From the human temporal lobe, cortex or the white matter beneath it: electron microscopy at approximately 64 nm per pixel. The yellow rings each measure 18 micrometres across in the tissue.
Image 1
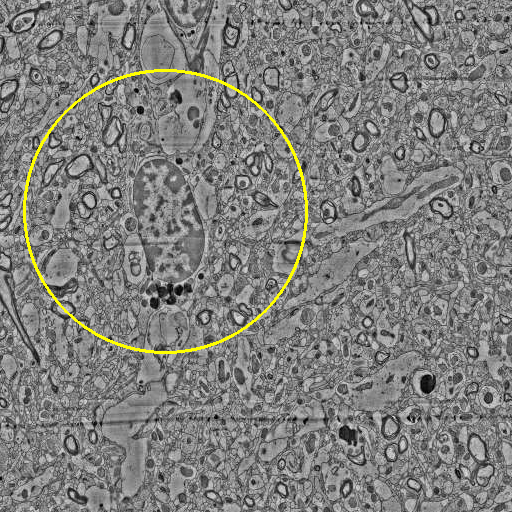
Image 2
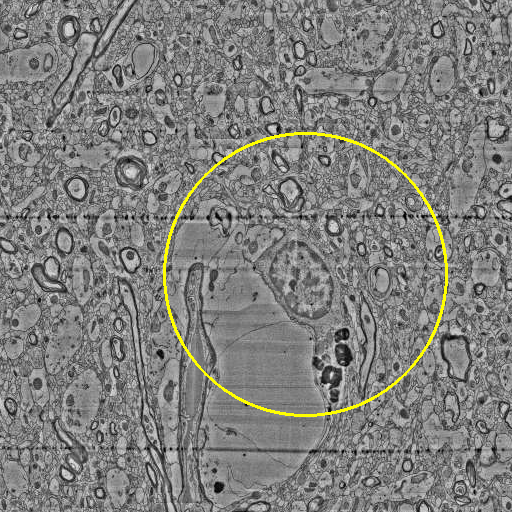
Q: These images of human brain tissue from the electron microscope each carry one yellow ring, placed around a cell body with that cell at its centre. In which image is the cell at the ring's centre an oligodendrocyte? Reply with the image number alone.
2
